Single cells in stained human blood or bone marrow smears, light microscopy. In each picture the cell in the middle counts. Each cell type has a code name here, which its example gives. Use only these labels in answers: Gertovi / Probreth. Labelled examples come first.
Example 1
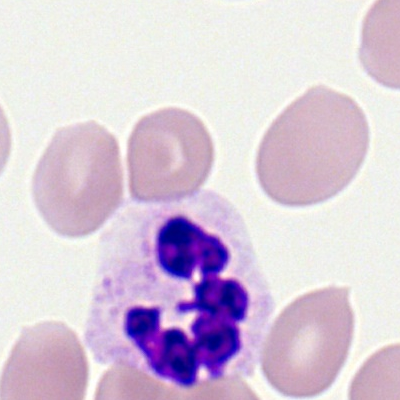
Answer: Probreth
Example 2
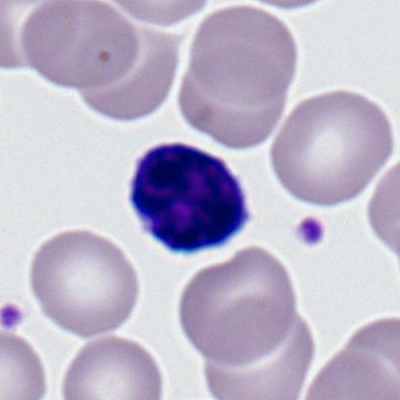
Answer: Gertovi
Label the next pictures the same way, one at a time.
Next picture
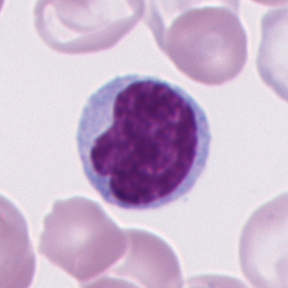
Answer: Gertovi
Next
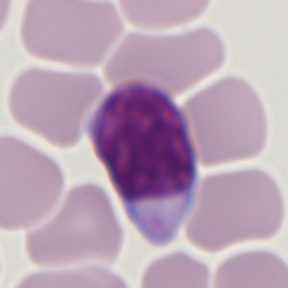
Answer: Gertovi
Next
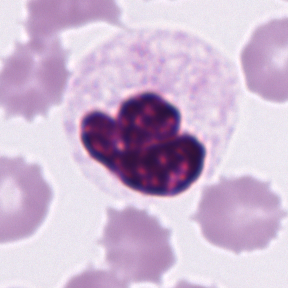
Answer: Probreth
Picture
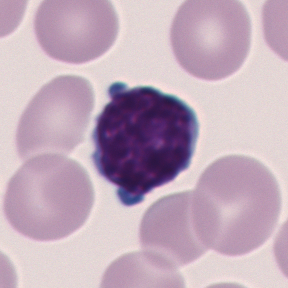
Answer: Gertovi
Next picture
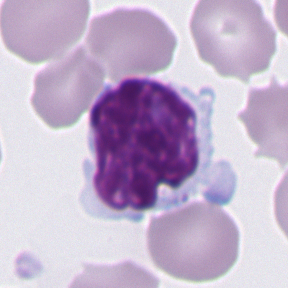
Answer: Gertovi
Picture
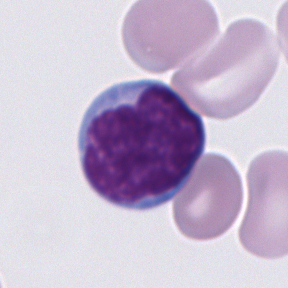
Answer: Gertovi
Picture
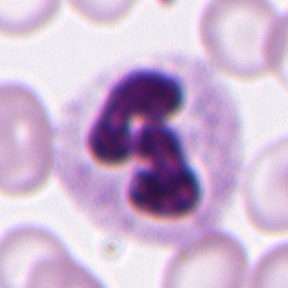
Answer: Probreth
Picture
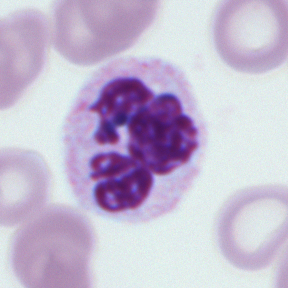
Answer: Probreth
